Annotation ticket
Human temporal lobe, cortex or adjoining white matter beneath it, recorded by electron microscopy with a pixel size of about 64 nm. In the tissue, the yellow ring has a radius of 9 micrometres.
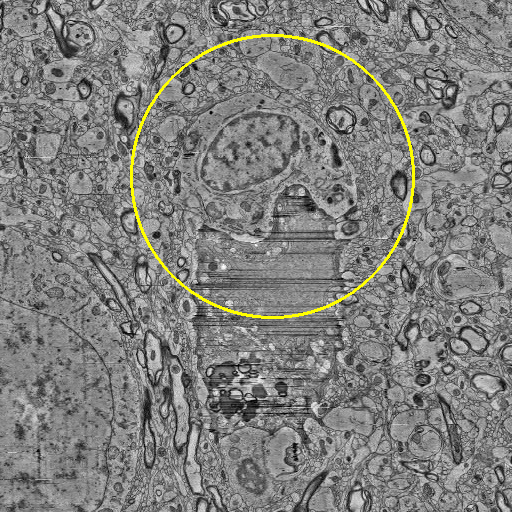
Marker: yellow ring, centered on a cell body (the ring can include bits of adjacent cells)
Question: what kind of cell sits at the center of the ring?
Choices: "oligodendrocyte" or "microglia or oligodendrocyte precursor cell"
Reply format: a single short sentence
The ring is centered on a microglial cell or oligodendrocyte precursor cell.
